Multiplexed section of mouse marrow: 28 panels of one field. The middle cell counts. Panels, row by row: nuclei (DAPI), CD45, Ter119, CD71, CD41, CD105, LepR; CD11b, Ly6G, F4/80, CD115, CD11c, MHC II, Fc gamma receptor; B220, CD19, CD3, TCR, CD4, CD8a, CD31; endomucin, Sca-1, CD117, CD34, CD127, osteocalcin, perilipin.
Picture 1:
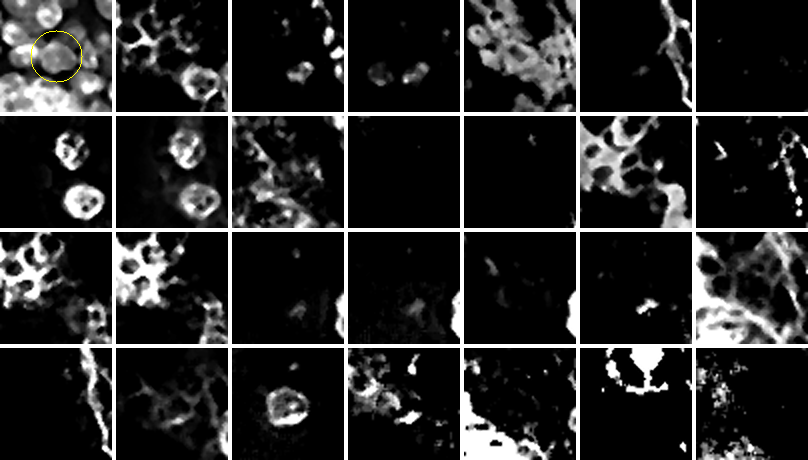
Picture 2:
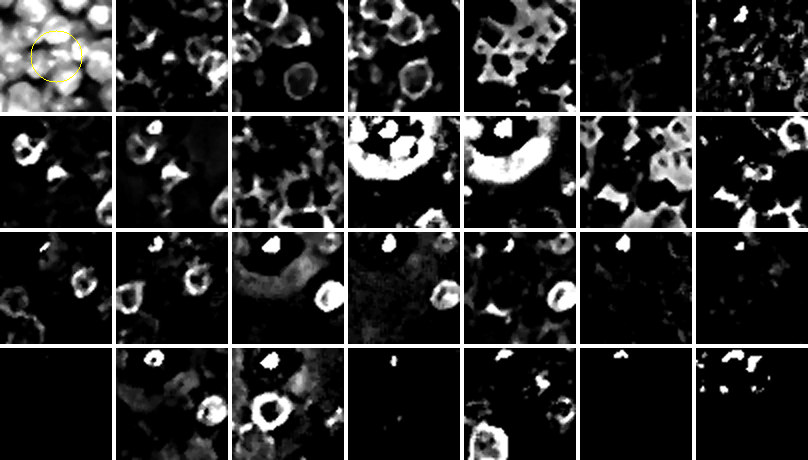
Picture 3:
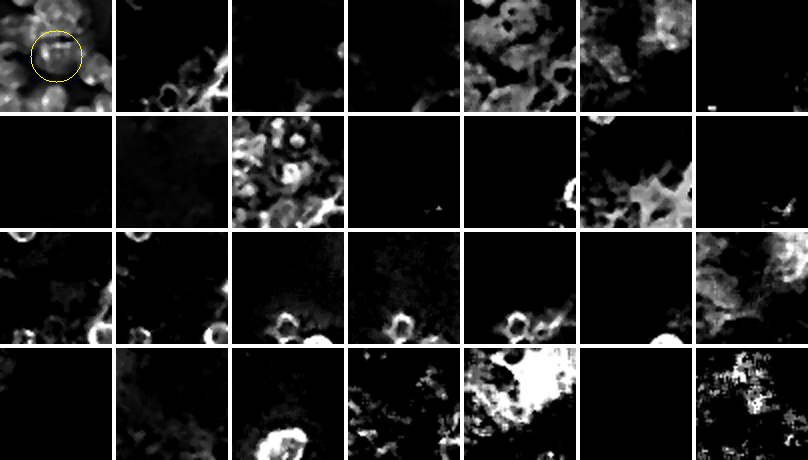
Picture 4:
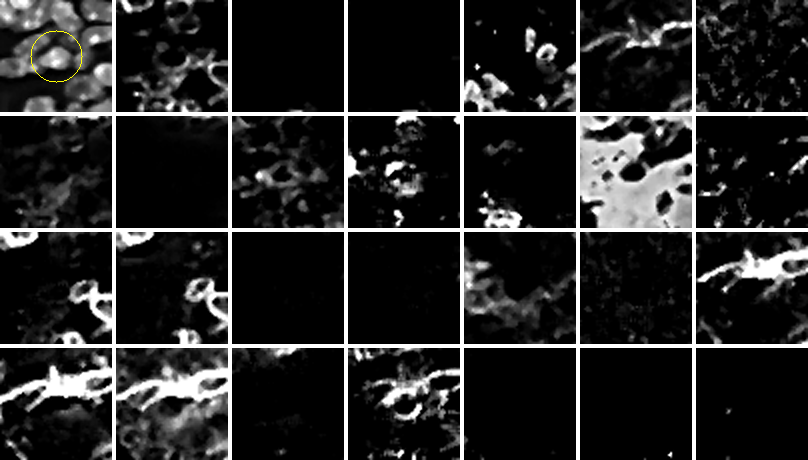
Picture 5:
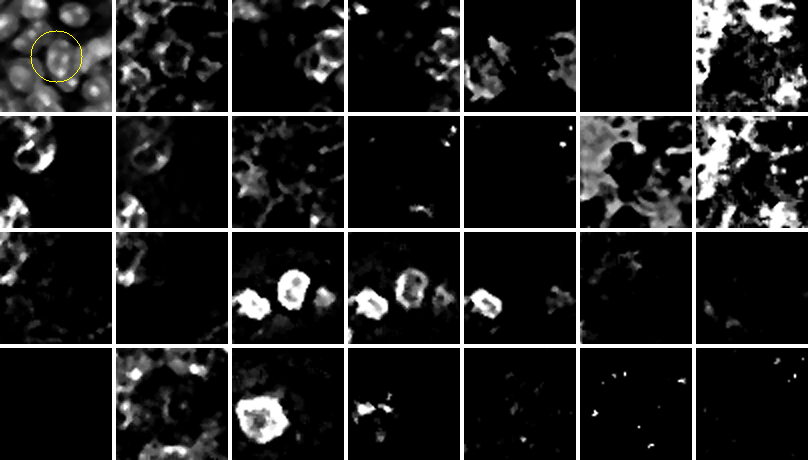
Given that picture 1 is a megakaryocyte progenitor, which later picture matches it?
2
